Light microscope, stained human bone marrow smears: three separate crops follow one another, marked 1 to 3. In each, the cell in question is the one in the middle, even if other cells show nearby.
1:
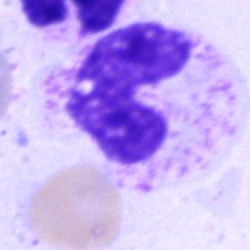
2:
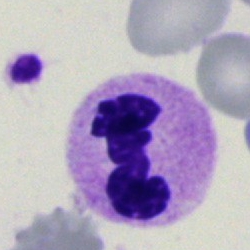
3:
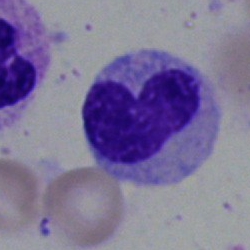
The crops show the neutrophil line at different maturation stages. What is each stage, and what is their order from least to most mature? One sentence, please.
From least mature through to most mature, the order is crop 3 (a metamyelocyte), crop 1 (a band neutrophil) and crop 2 (a segmented neutrophil).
